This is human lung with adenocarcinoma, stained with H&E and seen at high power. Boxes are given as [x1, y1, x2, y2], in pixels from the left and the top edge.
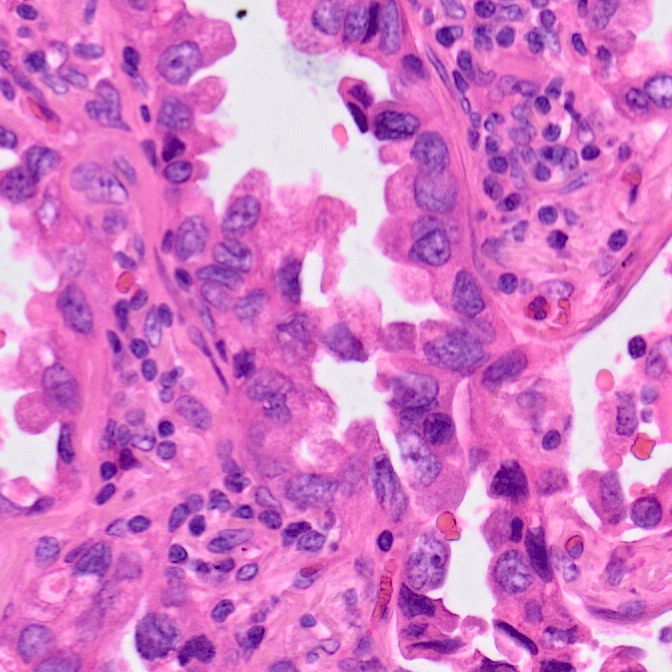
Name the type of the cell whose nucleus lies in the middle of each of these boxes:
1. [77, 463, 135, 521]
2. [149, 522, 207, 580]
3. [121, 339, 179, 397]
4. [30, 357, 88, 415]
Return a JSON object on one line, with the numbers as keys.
{"1": "lymphocyte", "2": "lymphocyte", "3": "lymphocyte", "4": "carcinoma cell"}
